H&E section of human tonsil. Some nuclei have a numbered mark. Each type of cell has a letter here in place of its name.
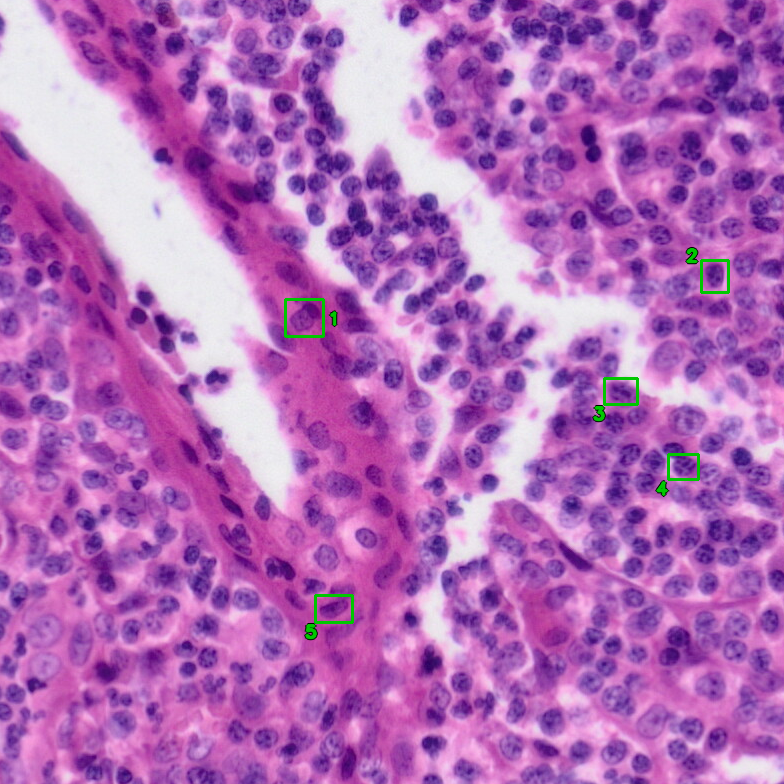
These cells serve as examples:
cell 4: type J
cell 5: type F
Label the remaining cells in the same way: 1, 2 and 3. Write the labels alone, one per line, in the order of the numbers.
type F
type J
type J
